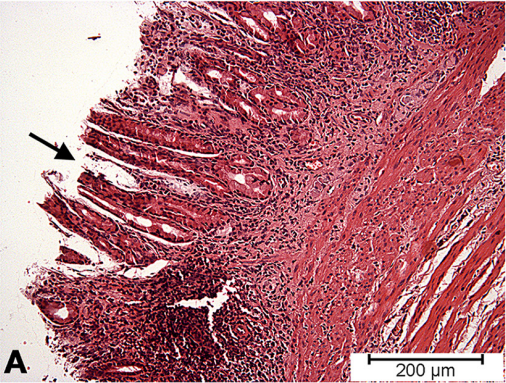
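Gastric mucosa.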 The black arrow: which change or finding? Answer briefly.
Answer: Superficial erosions.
